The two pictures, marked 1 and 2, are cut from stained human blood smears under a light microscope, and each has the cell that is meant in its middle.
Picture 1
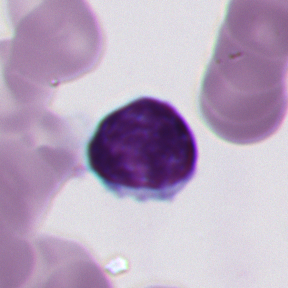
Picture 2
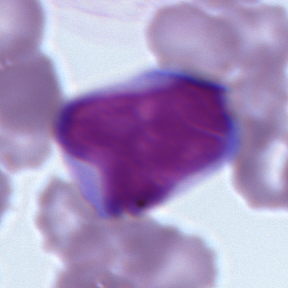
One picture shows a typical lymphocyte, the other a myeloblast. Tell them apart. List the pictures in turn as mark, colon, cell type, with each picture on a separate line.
1: typical lymphocyte
2: myeloblast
